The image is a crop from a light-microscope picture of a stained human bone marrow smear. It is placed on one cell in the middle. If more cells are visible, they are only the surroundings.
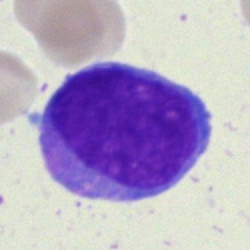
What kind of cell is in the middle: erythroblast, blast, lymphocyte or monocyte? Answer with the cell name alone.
blast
